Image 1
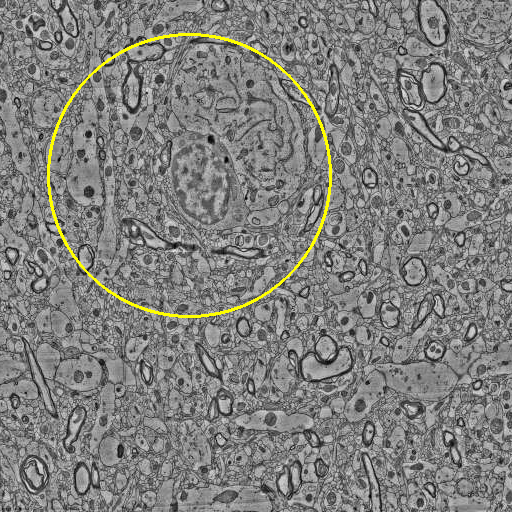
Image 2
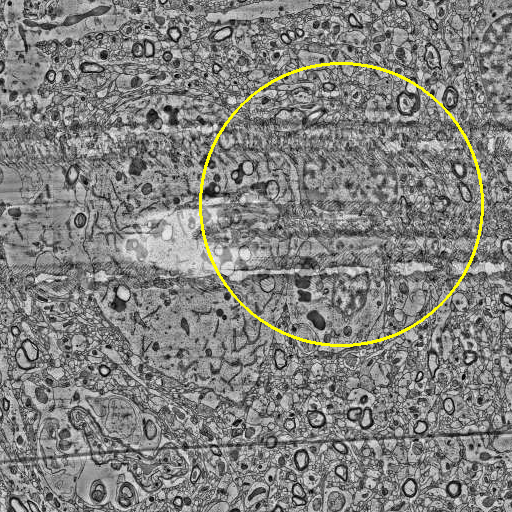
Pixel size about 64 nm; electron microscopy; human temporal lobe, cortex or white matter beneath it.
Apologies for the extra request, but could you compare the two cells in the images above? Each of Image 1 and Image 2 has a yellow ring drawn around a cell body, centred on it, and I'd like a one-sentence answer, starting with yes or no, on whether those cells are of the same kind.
Yes, both cells are of the same kind.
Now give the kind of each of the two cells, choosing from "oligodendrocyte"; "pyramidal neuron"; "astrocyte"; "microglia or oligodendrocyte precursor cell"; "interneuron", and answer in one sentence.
The cell at the ring centre is an oligodendrocyte in both pictures.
